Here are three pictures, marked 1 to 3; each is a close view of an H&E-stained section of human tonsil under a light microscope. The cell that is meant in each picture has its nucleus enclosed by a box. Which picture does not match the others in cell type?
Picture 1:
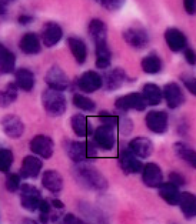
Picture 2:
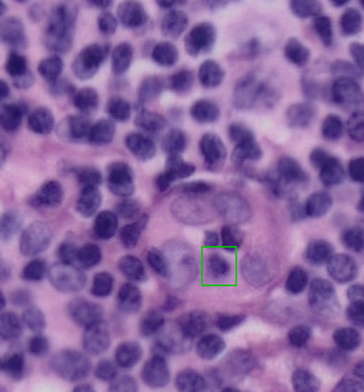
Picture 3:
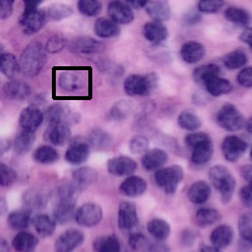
1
